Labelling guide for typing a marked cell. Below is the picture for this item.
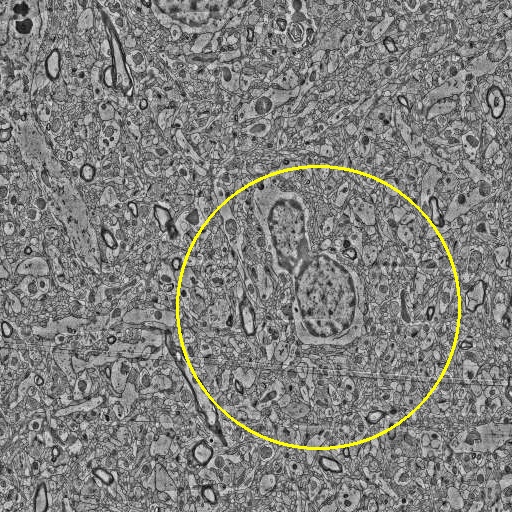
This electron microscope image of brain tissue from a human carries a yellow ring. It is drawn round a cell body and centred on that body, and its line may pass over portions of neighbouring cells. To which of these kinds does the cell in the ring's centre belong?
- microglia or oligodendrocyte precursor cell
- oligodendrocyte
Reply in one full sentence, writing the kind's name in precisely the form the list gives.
Here we have a microglial cell or oligodendrocyte precursor cell at the centre of the yellow ring in the picture.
